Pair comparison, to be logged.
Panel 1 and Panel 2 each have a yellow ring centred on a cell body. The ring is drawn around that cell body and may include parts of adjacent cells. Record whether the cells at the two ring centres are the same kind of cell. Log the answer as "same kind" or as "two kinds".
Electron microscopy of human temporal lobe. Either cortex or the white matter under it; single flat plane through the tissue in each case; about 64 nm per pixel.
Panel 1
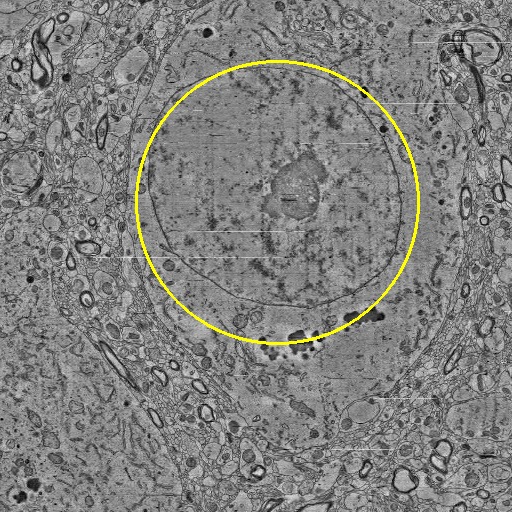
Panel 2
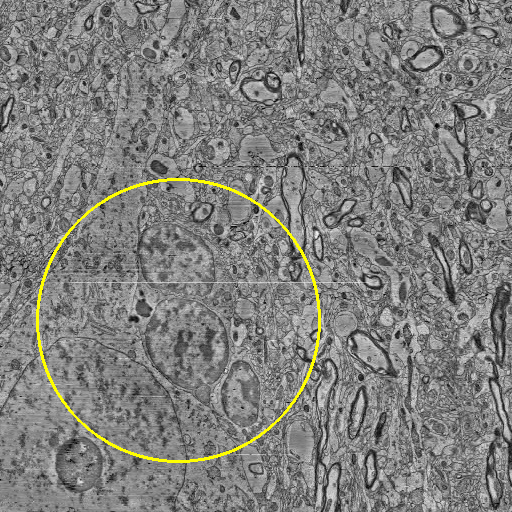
two kinds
